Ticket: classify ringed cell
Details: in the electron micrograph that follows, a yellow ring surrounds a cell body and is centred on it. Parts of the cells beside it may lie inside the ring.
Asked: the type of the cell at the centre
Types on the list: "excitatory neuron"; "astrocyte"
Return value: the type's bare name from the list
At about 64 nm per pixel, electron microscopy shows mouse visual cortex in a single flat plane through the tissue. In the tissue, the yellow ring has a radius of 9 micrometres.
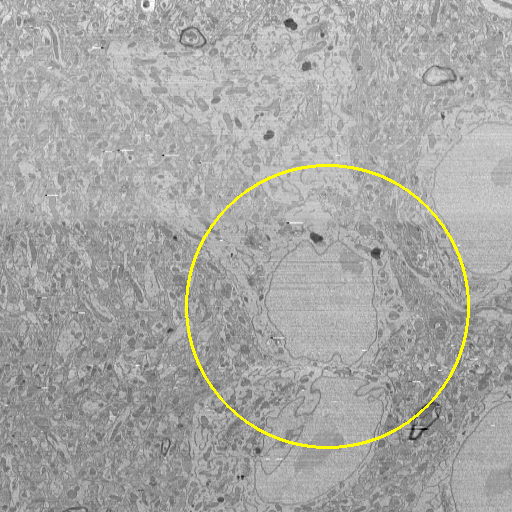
excitatory neuron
